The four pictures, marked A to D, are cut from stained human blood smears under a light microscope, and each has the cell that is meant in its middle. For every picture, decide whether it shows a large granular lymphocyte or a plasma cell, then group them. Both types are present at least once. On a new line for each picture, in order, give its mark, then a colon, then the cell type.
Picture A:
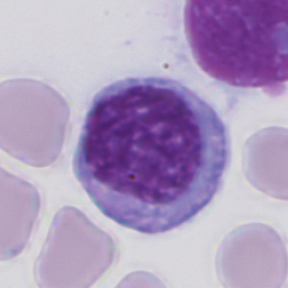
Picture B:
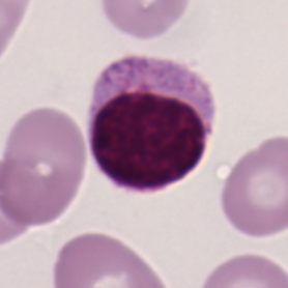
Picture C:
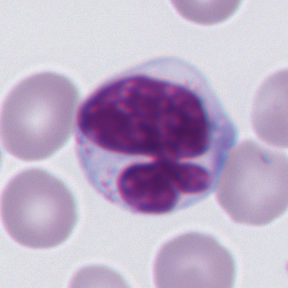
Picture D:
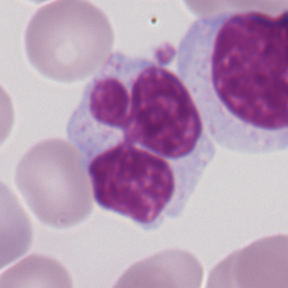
A: plasma cell
B: large granular lymphocyte
C: large granular lymphocyte
D: large granular lymphocyte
